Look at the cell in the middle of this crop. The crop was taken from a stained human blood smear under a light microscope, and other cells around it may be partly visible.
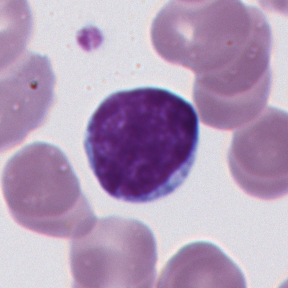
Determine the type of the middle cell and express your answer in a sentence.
The target cell in the middle of the crop is a lymphocyte.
